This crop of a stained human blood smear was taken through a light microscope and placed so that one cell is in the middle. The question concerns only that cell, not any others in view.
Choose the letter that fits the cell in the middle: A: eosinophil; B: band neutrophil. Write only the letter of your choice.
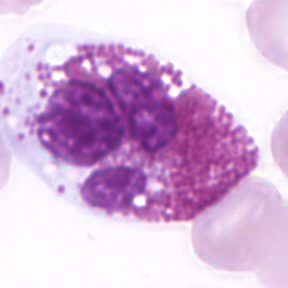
A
